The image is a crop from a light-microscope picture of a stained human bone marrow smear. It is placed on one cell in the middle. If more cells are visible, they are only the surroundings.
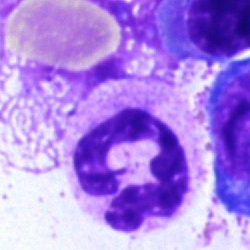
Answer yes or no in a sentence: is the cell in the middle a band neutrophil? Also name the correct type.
No, the cell in the centre is to be called a segmented neutrophil instead of a band neutrophil.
